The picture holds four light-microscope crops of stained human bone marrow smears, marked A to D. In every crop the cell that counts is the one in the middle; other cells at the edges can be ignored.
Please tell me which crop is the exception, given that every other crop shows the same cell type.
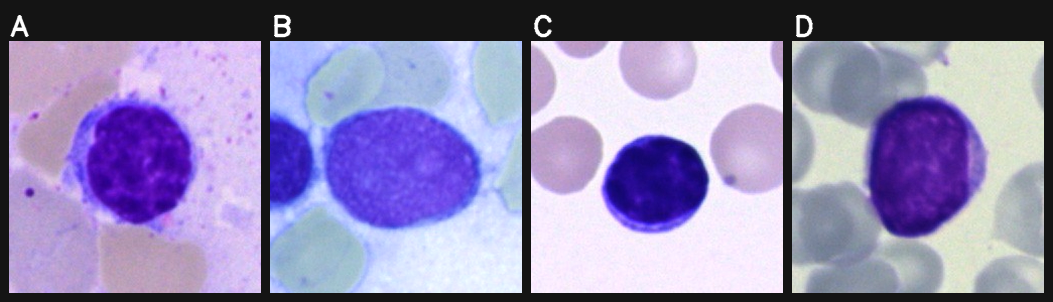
B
